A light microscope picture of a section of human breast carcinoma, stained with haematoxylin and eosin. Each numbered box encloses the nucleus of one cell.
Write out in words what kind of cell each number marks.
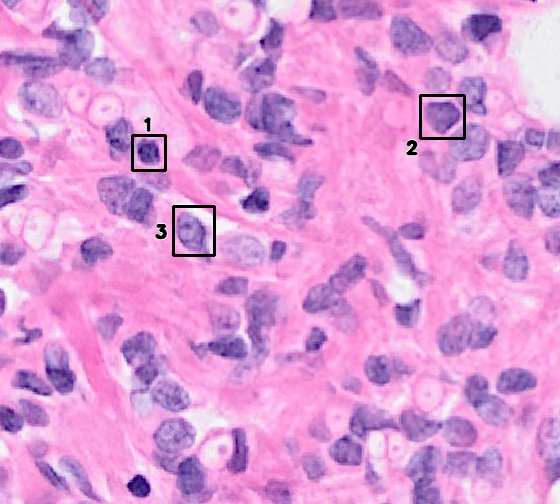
Cell 1 is a lymphocyte, cell 2 is a carcinoma cell and cell 3 is a carcinoma cell.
